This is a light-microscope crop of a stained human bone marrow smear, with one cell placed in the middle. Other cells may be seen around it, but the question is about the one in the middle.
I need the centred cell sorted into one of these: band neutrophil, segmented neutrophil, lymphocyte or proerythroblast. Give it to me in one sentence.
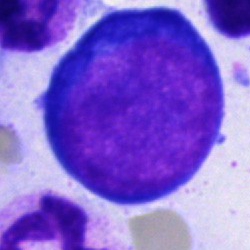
The cell marked by its central position in the crop is a proerythroblast.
